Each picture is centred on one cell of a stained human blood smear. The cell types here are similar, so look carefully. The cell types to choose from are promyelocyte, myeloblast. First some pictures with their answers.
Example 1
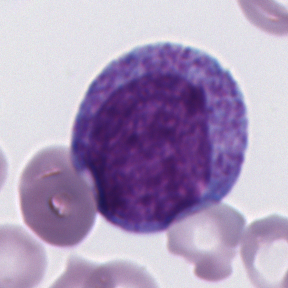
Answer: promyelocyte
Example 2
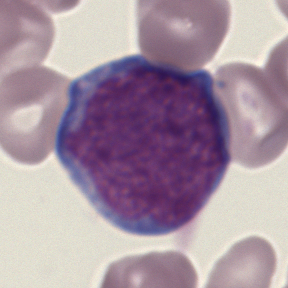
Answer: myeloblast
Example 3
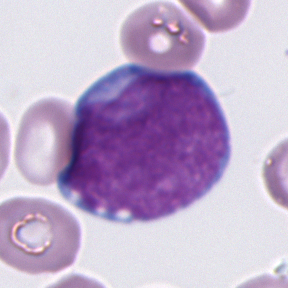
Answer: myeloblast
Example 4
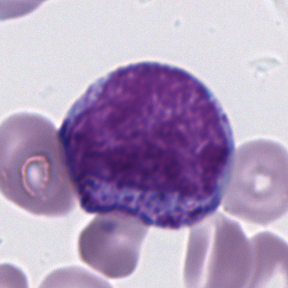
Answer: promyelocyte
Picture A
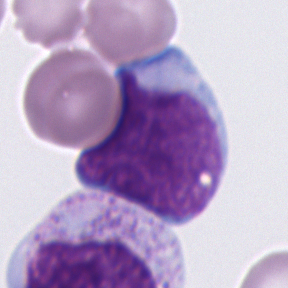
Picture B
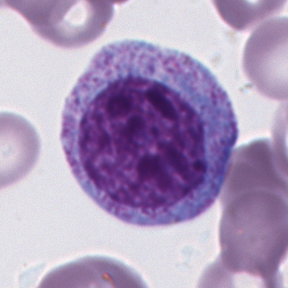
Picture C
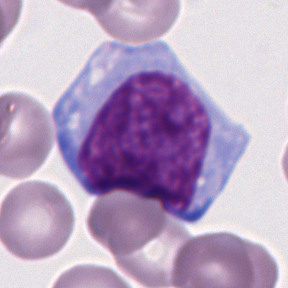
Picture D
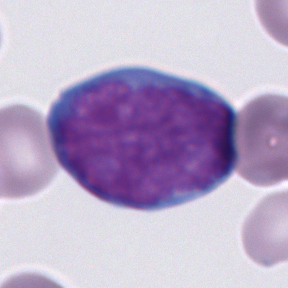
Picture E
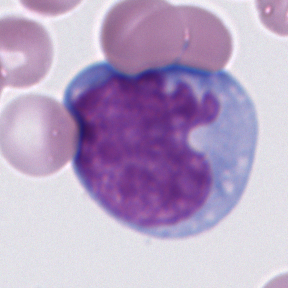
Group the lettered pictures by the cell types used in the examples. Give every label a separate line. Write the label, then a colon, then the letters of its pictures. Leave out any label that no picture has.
promyelocyte: B
myeloblast: A, C, D, E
